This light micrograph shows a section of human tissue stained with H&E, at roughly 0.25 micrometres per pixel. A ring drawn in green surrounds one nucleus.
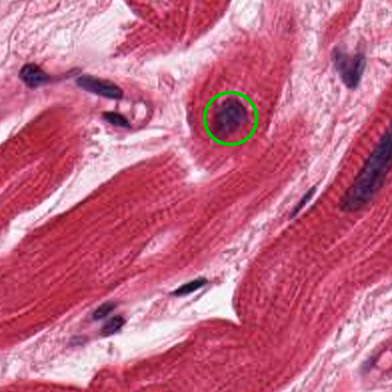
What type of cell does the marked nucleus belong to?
cardiomyocyte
